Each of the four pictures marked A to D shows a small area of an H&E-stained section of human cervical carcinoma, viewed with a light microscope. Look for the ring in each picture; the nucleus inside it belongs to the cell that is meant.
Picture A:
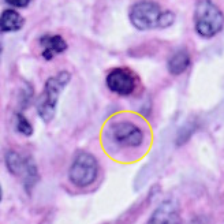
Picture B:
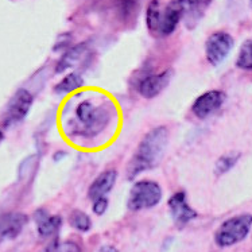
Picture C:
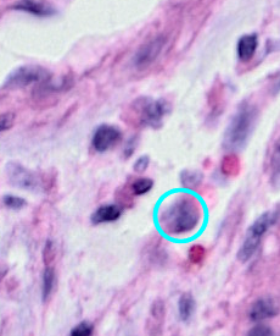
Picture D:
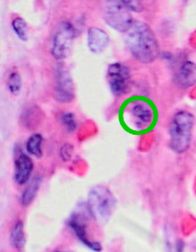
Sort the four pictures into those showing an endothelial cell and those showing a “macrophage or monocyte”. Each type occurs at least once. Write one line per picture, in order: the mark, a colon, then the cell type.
A: macrophage or monocyte
B: macrophage or monocyte
C: endothelial cell
D: endothelial cell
